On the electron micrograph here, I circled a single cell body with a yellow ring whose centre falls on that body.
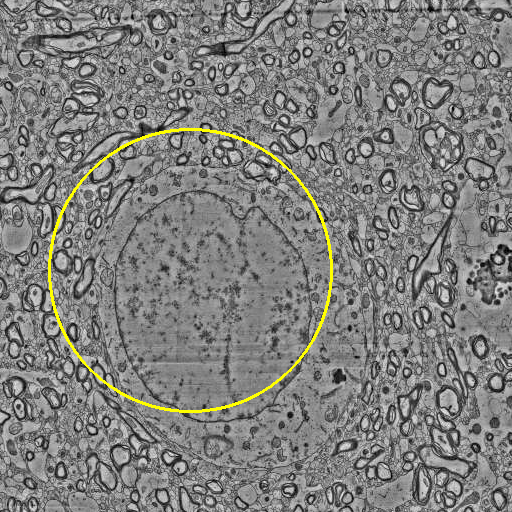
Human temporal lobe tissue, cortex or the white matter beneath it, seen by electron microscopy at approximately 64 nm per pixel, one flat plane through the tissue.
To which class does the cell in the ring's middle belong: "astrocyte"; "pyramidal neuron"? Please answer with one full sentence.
In this picture, the cell body circled at the ring's centre belongs to a pyramidal neuron.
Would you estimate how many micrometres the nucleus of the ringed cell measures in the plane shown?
About 15 micrometres by about 13 micrometres in this plane.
